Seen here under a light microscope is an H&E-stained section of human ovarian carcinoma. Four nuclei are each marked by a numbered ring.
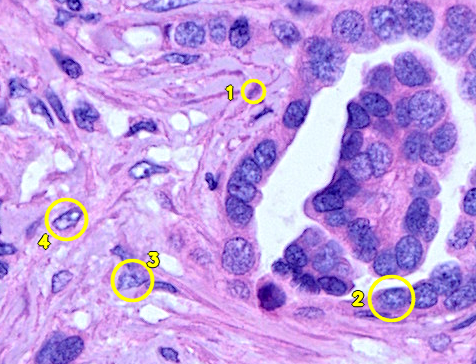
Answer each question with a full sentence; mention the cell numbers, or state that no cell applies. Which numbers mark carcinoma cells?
Cell 2 is the one numbered cell that is a carcinoma cell.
